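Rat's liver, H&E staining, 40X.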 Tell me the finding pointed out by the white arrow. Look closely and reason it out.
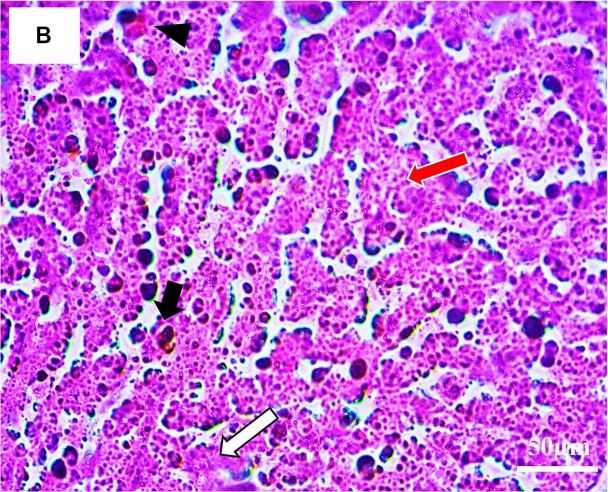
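The tissue around the arrow is granular and fragmented. Cell borders and nuclei are hard to make out there. The answer: necrosis.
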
